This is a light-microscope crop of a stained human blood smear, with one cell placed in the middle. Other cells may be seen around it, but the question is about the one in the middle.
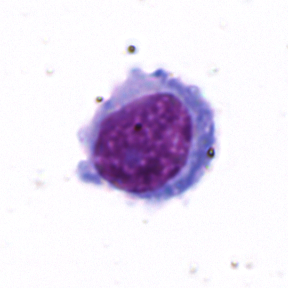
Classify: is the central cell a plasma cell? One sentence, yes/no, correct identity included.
Yes, the cell in the central position is a plasma cell.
